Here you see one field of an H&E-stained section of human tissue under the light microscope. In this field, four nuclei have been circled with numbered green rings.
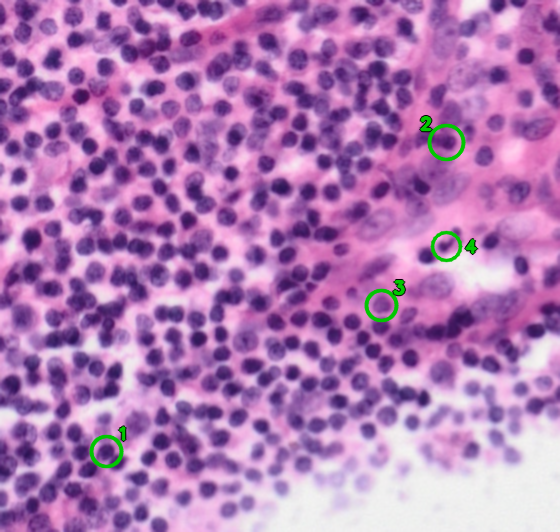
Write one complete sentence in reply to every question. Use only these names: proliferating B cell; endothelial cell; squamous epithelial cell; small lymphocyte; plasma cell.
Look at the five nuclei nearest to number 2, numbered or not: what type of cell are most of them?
The majority of the five nuclei closest to number 2 belong to endothelial cells.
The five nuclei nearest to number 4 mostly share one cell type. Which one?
Endothelial cells account for more than half of the five nuclei nearest to number 4.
